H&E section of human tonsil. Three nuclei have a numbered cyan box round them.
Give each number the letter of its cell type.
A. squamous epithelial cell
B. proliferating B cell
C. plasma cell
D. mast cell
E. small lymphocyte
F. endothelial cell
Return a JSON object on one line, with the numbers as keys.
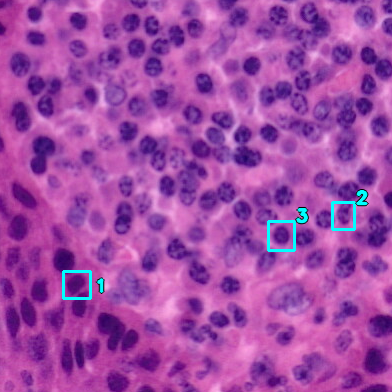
{"1": "A", "2": "C", "3": "C"}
